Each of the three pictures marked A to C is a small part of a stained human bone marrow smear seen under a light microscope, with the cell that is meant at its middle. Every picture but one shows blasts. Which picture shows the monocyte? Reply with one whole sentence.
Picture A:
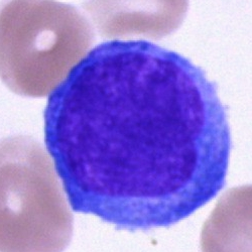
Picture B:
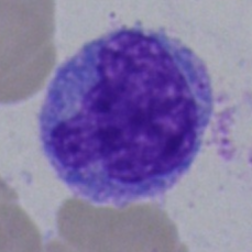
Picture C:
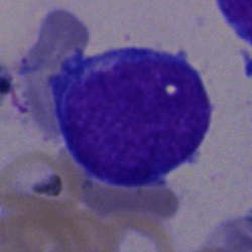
Picture B is the one that shows the monocyte.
